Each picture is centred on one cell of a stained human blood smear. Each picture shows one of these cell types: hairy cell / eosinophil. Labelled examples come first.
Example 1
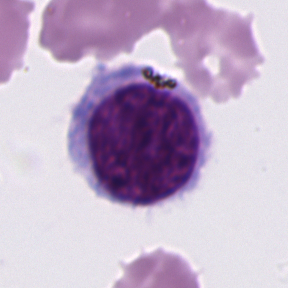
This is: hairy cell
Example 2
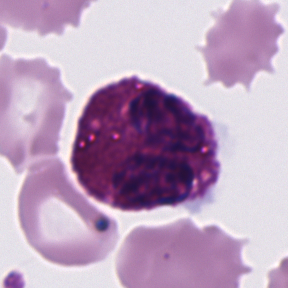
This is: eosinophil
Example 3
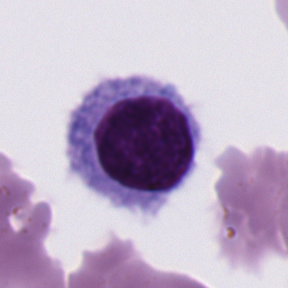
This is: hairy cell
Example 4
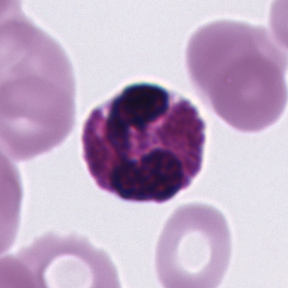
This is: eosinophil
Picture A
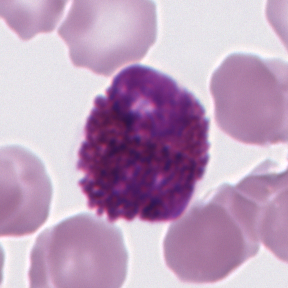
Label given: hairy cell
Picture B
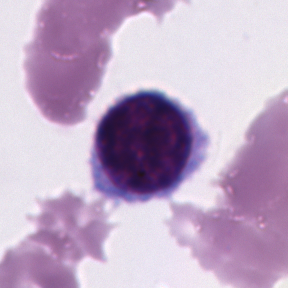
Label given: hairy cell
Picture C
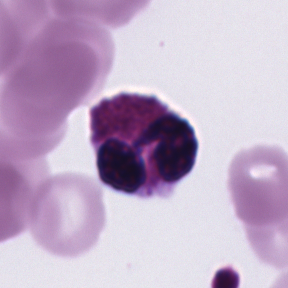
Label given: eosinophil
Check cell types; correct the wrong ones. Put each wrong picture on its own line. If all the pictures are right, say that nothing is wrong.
A: eosinophil, not hairy cell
